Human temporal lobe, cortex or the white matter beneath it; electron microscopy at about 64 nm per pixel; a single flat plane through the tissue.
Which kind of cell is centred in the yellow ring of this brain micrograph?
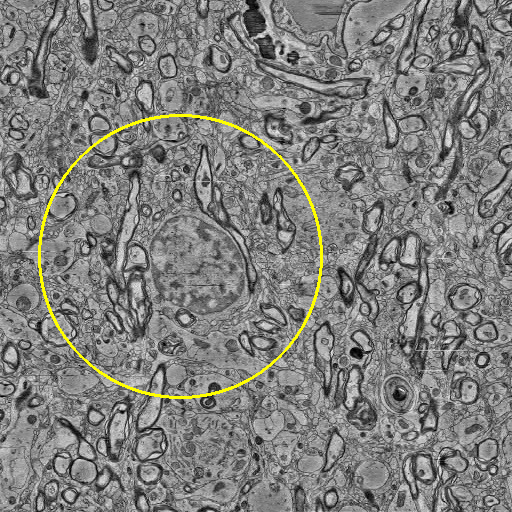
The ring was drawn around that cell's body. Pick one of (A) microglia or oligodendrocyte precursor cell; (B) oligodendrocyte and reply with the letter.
B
